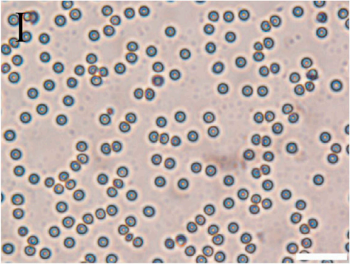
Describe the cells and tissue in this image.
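The field is filled with many small, round erythrocytes lying singly or in loose small groups on a pale background. Every cell is about the same size and shape, with a dark outer rim and a lighter, slightly bright centre. None of them shows a nucleus or any inner granules. The outlines are smooth and even, with no crumpled, spiky or burst forms. This looks like a suspension of intact red blood cells.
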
